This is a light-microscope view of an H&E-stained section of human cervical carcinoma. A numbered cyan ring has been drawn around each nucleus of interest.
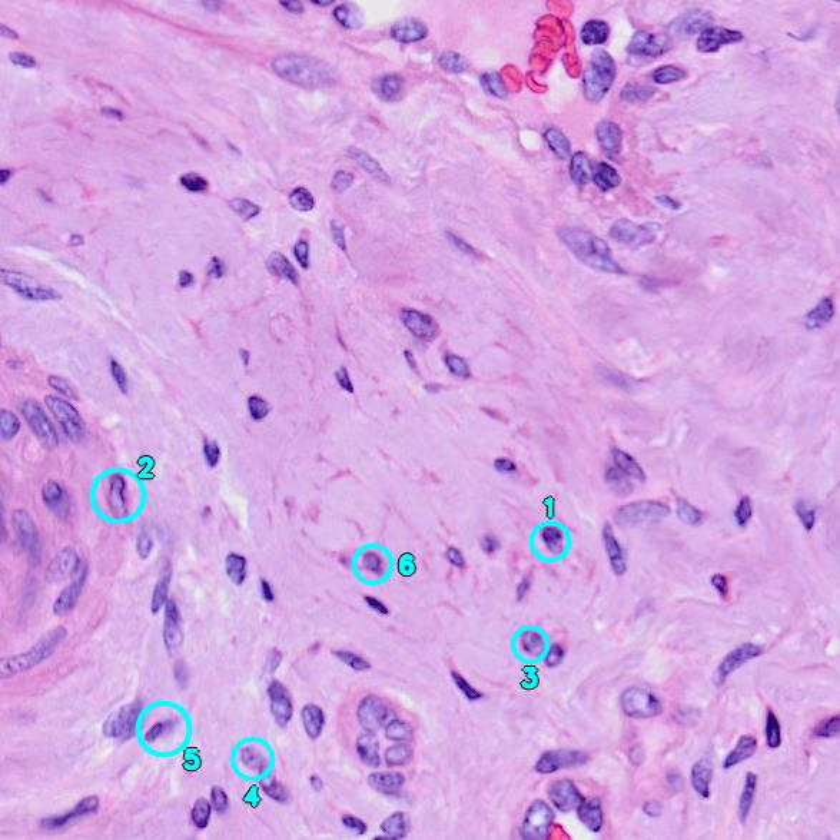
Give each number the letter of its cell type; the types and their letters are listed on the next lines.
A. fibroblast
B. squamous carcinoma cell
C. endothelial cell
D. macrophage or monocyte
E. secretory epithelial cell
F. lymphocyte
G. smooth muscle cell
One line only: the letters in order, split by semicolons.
G; G; G; A; A; G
